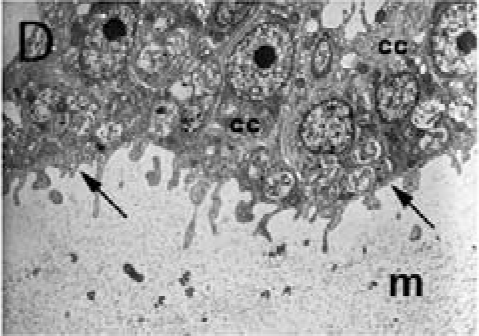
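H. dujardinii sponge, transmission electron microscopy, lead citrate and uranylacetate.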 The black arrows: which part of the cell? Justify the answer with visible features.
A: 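Basal surfaces. The arrows point to the lower border of the cell layer. Short cell processes project from this border into the lighter matrix below.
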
